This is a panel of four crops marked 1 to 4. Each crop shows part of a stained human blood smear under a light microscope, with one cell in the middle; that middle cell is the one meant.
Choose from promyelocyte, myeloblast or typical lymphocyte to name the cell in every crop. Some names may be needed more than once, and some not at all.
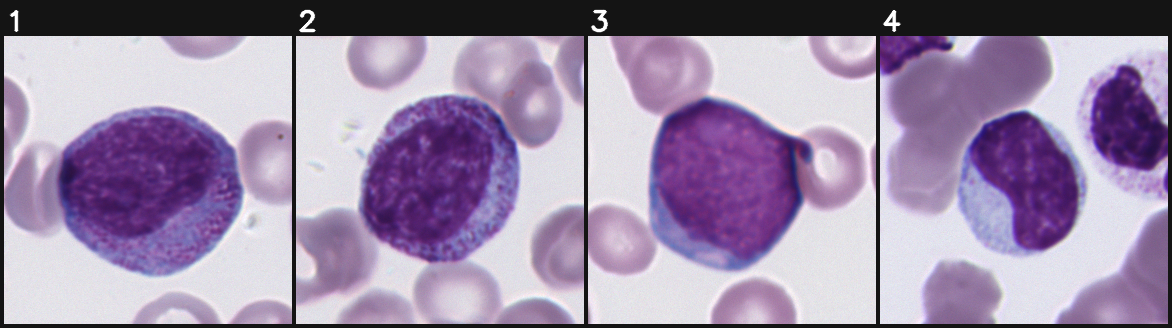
1: promyelocyte
2: promyelocyte
3: myeloblast
4: typical lymphocyte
